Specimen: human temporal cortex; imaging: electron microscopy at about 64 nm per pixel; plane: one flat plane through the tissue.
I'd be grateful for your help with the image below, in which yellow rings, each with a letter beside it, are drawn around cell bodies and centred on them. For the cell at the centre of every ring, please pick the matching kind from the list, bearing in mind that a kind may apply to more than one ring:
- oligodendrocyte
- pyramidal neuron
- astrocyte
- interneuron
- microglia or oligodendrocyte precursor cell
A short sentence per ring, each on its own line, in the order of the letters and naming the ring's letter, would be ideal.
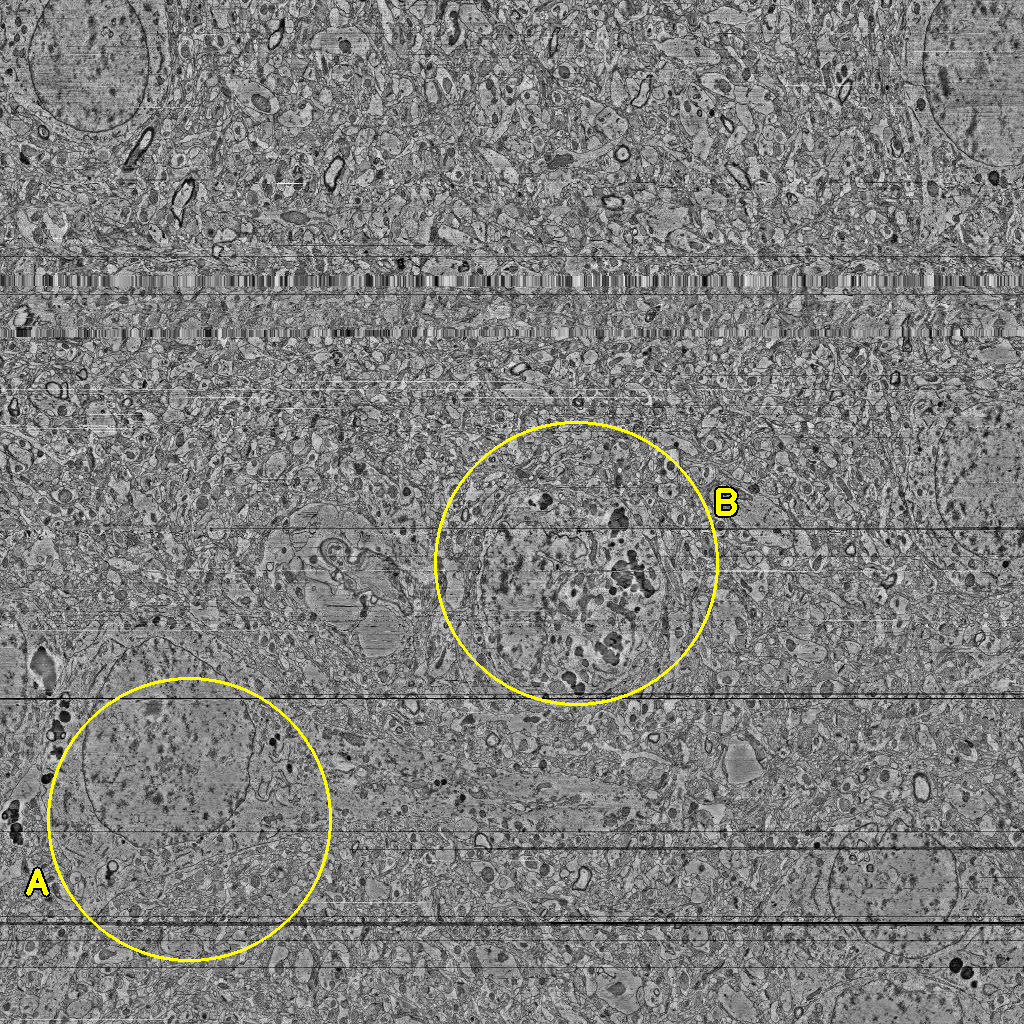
Inside ring A, the central cell is a pyramidal neuron.
Inside ring B, the central cell is an interneuron.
